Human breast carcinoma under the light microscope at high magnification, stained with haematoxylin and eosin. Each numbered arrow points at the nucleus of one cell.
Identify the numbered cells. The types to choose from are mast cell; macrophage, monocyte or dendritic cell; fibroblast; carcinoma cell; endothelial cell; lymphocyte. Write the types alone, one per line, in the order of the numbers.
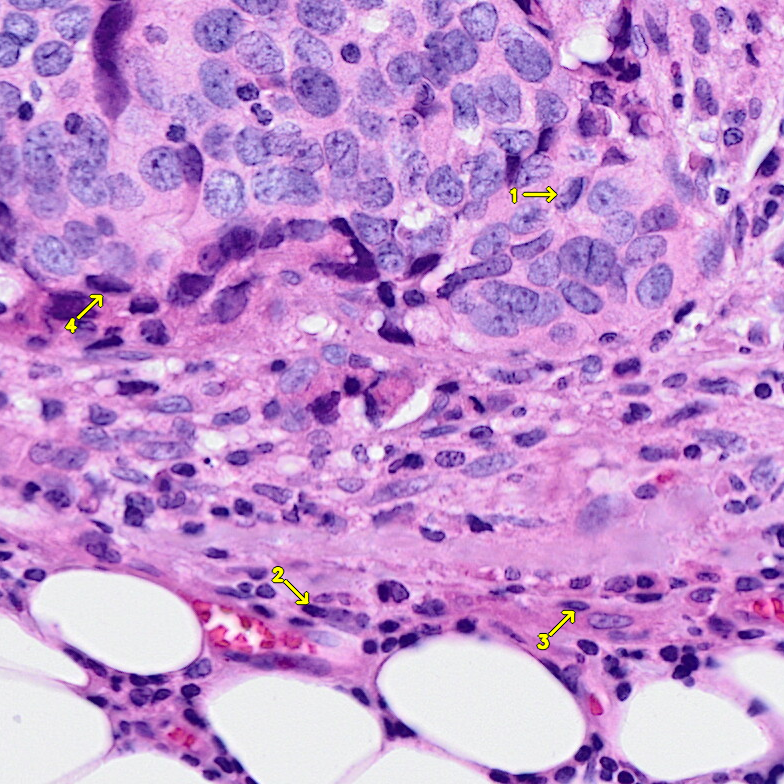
carcinoma cell
lymphocyte
endothelial cell
carcinoma cell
